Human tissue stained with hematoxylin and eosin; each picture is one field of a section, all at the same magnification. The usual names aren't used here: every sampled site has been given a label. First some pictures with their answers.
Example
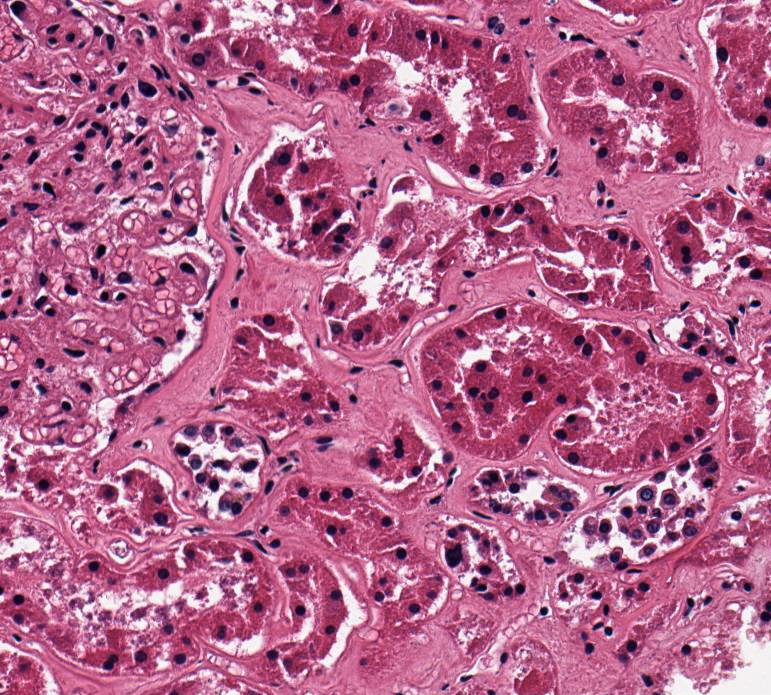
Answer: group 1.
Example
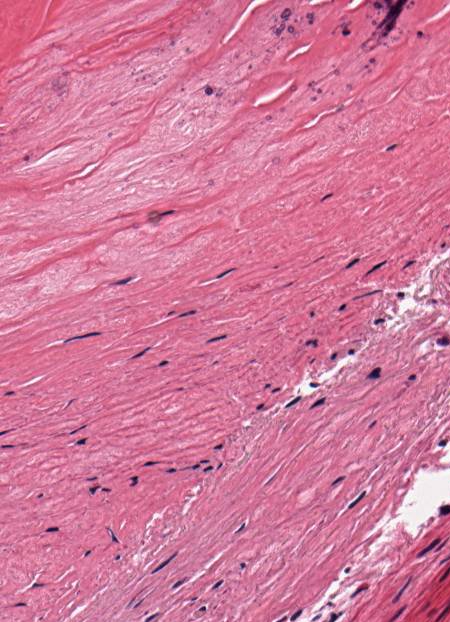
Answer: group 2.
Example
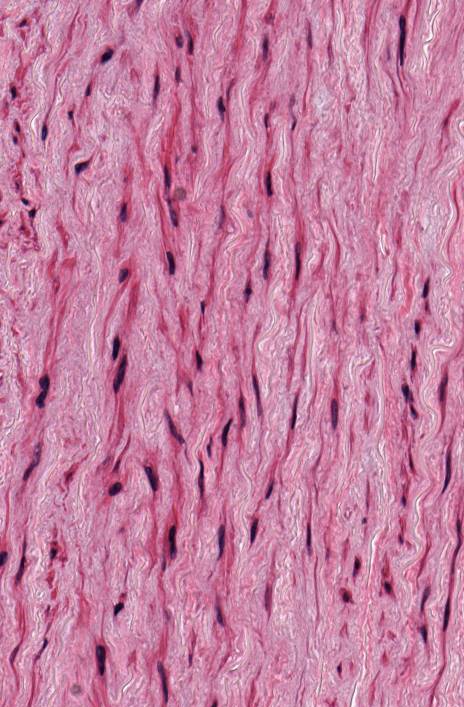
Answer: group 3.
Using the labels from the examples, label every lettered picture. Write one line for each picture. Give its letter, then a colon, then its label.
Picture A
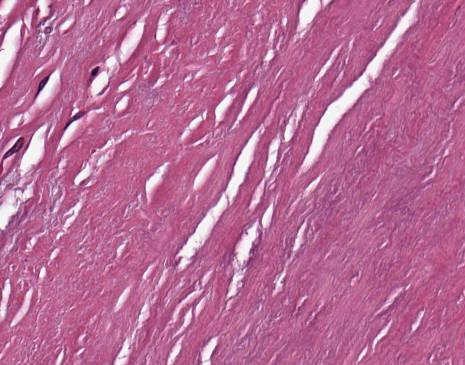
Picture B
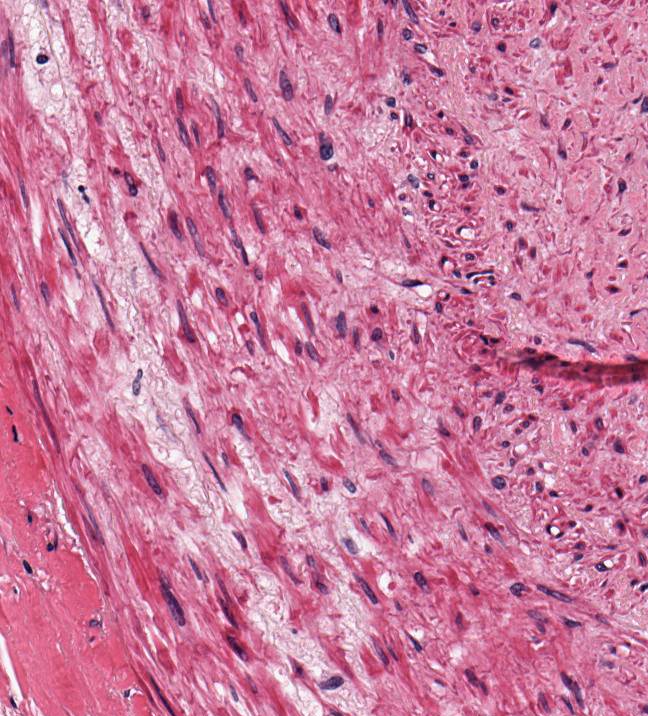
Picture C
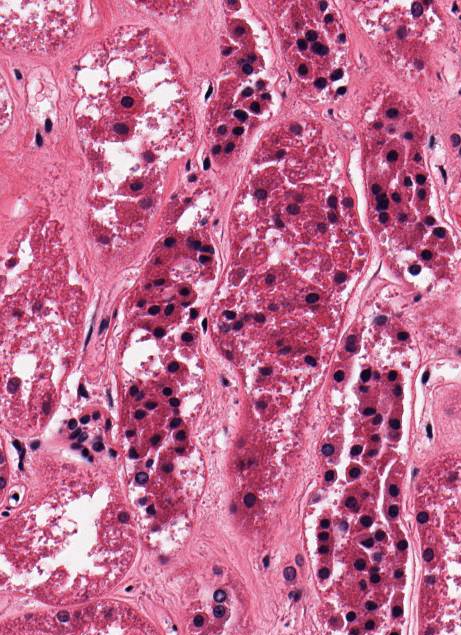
A: group 3.
B: group 2.
C: group 1.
